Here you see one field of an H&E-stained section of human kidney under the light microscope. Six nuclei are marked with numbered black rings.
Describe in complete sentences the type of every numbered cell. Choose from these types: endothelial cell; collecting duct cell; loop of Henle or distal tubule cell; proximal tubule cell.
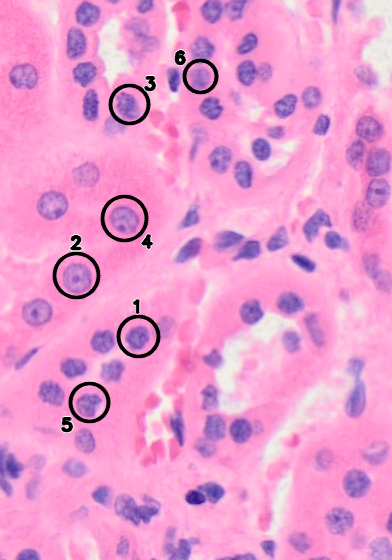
Cell 1 is a loop of Henle or distal tubule cell, cell 2 is a proximal tubule cell, cell 3 is a collecting duct cell, cell 4 is a proximal tubule cell, cell 5 is a loop of Henle or distal tubule cell and cell 6 is a collecting duct cell.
